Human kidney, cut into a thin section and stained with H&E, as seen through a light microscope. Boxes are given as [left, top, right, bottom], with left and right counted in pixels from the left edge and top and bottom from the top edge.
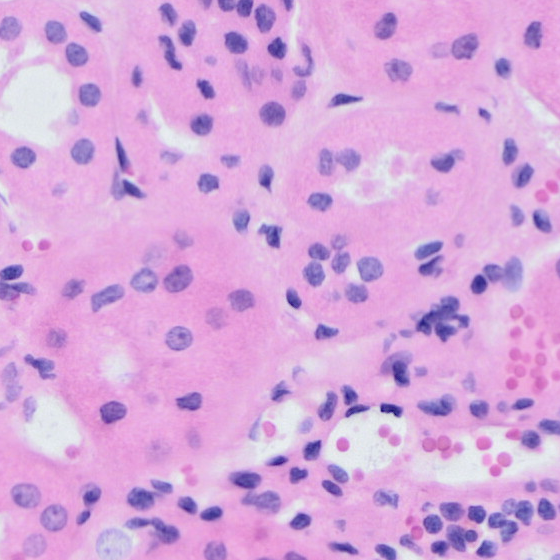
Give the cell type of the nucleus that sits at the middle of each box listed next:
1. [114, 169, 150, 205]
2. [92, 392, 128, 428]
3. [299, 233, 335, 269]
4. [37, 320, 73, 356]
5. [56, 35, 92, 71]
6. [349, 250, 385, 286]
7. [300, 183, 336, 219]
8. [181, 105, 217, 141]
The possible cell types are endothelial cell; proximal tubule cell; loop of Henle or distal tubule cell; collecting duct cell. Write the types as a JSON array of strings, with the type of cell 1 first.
["endothelial cell", "proximal tubule cell", "loop of Henle or distal tubule cell", "proximal tubule cell", "loop of Henle or distal tubule cell", "loop of Henle or distal tubule cell", "loop of Henle or distal tubule cell", "loop of Henle or distal tubule cell"]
